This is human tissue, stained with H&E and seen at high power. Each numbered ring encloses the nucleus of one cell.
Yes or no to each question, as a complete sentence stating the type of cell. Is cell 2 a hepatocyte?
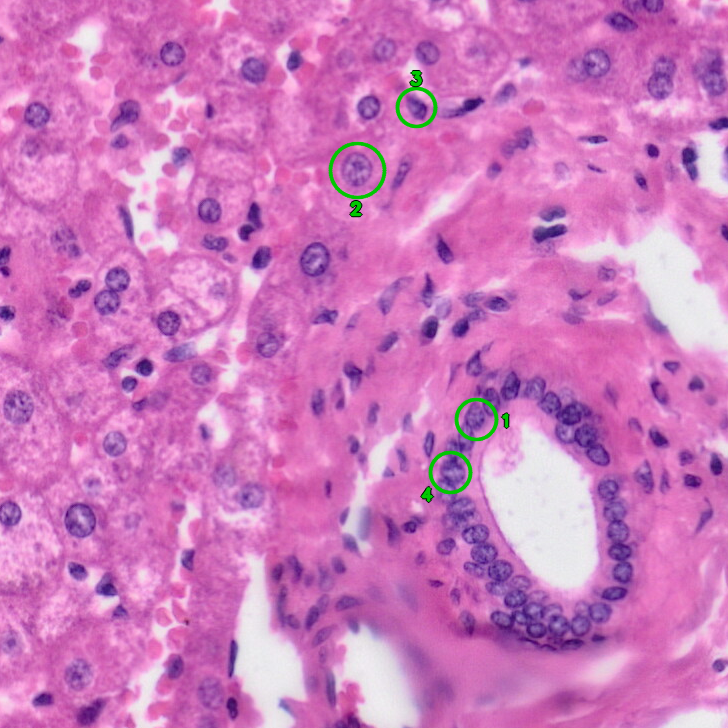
Yes, the cell at number 2 is a hepatocyte.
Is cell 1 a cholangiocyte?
Yes, within this section, cell number 1 is a cholangiocyte.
